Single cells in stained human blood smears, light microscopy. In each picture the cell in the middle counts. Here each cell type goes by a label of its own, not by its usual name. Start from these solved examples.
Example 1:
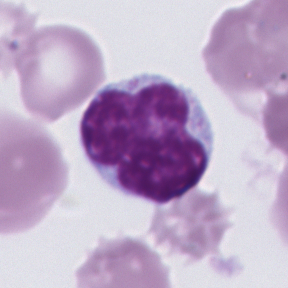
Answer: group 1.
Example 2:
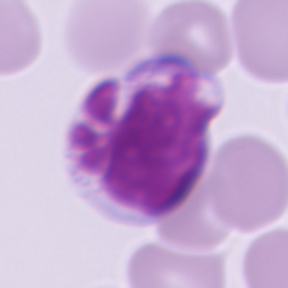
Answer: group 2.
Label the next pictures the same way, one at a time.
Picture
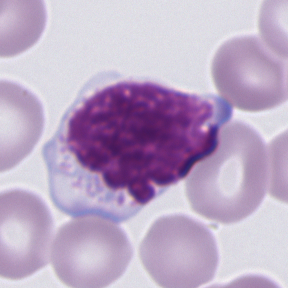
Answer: group 2.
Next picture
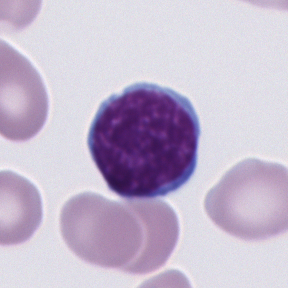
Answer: group 1.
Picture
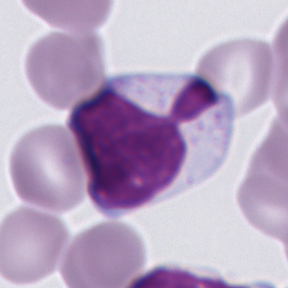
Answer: group 2.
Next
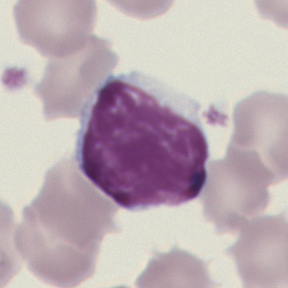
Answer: group 1.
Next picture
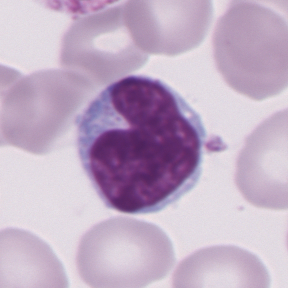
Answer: group 1.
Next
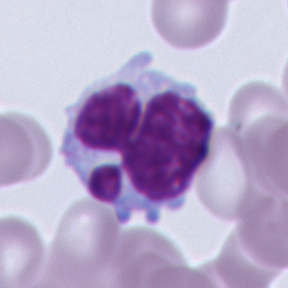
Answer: group 2.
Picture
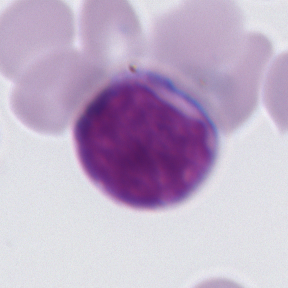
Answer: group 2.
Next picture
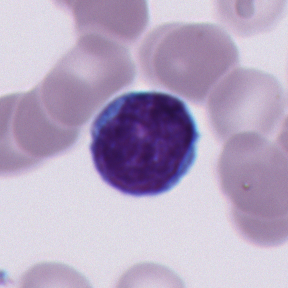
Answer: group 1.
